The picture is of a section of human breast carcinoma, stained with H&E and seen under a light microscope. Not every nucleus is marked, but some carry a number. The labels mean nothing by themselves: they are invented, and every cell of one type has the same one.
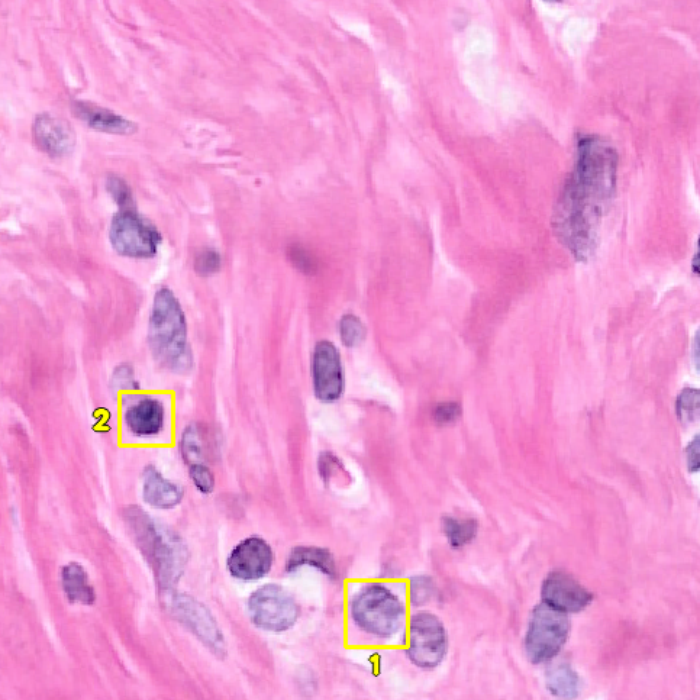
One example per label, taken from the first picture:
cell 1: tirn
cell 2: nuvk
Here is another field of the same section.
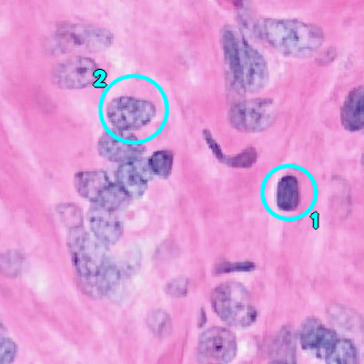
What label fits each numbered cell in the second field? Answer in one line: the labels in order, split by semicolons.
nuvk; tirn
